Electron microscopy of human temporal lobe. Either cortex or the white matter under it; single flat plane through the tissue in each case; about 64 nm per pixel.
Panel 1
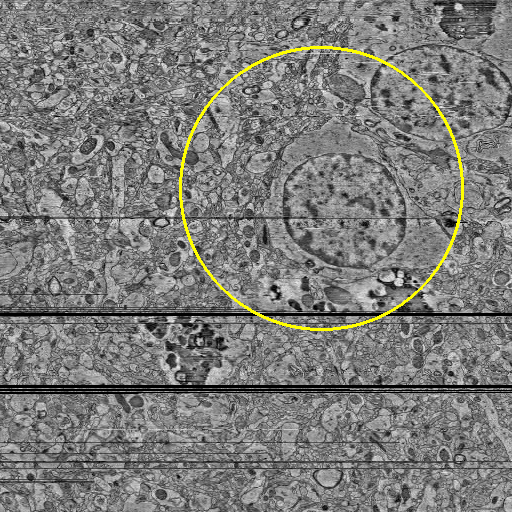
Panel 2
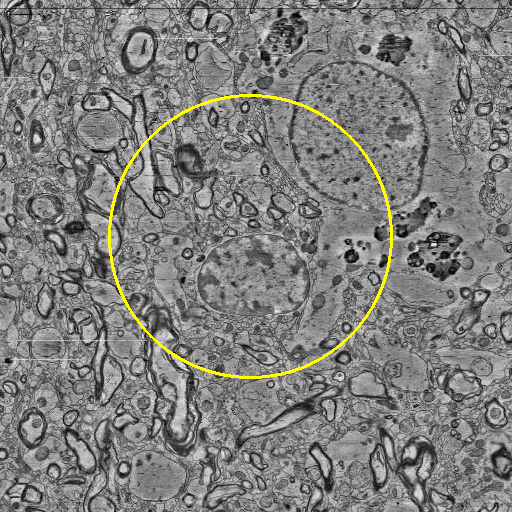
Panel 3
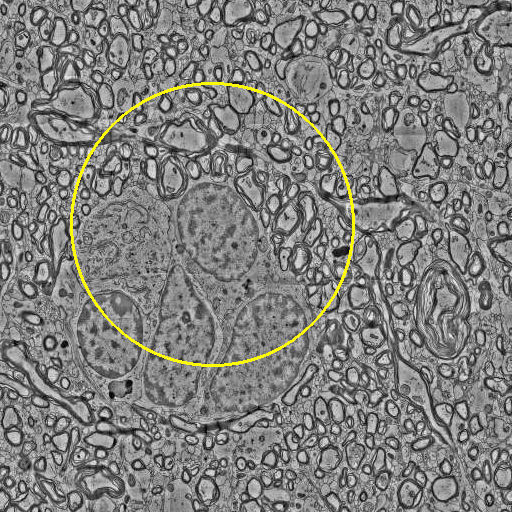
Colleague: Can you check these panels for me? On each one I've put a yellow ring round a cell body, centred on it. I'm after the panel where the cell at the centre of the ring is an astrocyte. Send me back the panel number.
1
